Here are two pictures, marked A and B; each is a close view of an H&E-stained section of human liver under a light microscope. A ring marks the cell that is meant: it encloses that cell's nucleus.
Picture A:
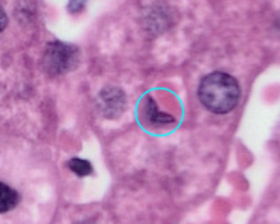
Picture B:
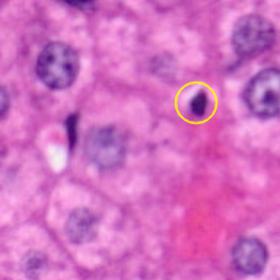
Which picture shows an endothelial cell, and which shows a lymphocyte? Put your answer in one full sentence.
Picture A shows an endothelial cell and picture B shows a lymphocyte.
